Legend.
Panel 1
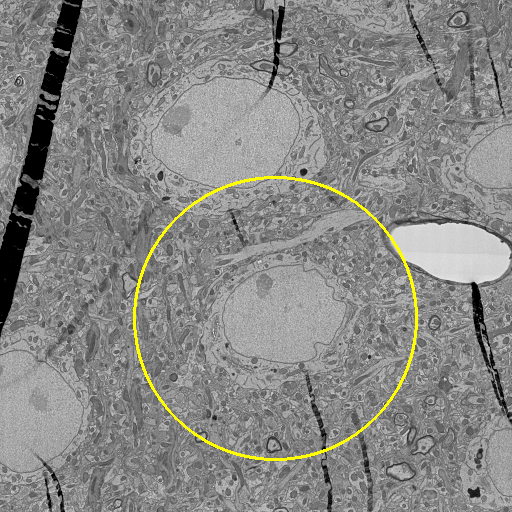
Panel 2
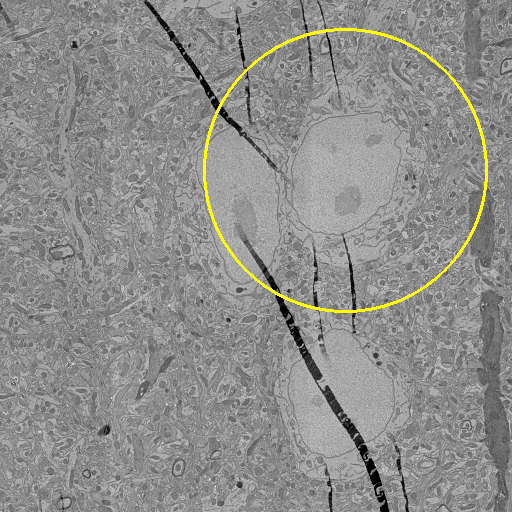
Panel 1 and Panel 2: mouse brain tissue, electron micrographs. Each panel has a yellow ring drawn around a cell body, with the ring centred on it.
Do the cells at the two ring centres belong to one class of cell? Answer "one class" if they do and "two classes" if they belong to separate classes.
one class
